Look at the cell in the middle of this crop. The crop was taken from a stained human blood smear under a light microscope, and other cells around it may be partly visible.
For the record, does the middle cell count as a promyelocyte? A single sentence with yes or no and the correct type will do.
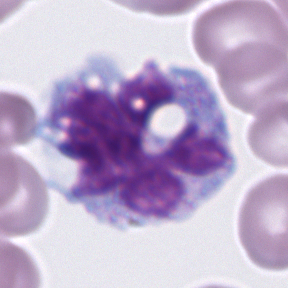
No, calling it a promyelocyte is wrong; the middle cell is a monocyte.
